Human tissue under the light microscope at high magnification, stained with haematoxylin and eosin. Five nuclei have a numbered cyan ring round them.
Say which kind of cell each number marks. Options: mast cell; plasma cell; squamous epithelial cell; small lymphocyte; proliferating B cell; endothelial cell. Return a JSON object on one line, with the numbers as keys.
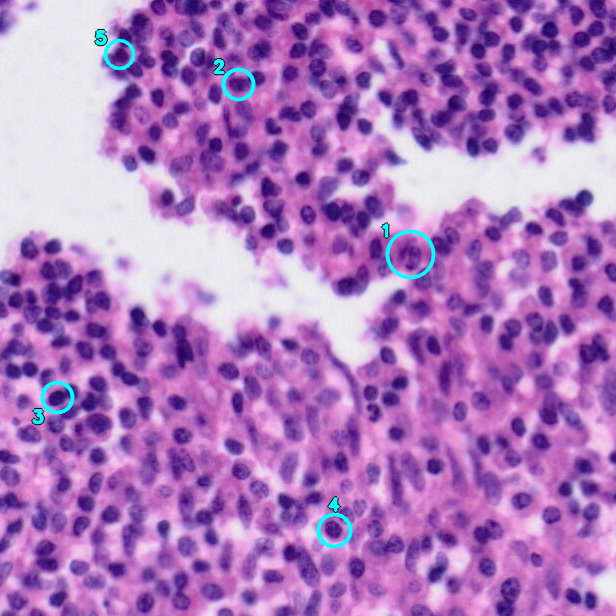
{"1": "squamous epithelial cell", "2": "plasma cell", "3": "small lymphocyte", "4": "plasma cell", "5": "small lymphocyte"}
